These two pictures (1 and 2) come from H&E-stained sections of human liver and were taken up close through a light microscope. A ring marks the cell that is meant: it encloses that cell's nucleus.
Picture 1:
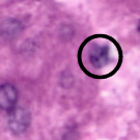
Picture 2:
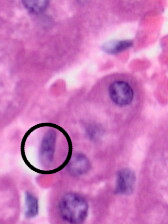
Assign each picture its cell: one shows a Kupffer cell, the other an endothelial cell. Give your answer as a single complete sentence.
Picture 1 shows an endothelial cell and picture 2 shows a Kupffer cell.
